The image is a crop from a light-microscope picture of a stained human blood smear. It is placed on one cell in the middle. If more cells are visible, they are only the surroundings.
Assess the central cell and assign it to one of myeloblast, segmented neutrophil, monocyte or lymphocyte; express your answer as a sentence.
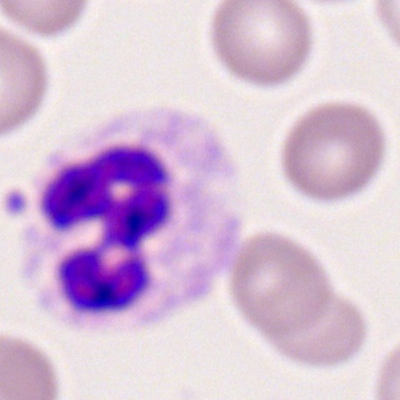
In the central position of this crop, the cell is a segmented neutrophil.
